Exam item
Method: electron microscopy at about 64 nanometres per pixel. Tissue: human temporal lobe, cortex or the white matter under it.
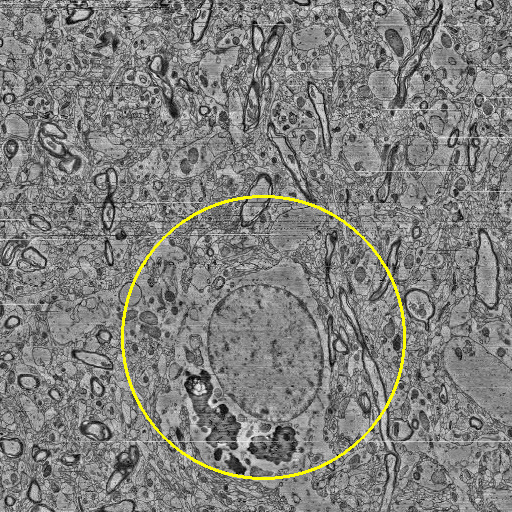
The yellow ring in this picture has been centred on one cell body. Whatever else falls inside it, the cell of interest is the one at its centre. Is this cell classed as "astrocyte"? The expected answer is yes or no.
yes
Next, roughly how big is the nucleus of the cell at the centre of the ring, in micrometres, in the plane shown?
In this plane, the nucleus is roughly 9 by 7 micrometres.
